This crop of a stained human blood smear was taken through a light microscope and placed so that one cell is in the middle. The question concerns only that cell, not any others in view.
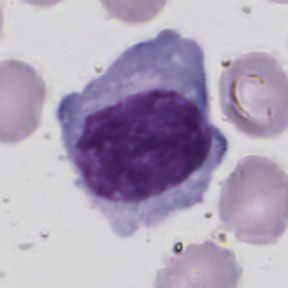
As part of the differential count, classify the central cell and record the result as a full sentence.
Classification of the middle cell gives a plasma cell.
